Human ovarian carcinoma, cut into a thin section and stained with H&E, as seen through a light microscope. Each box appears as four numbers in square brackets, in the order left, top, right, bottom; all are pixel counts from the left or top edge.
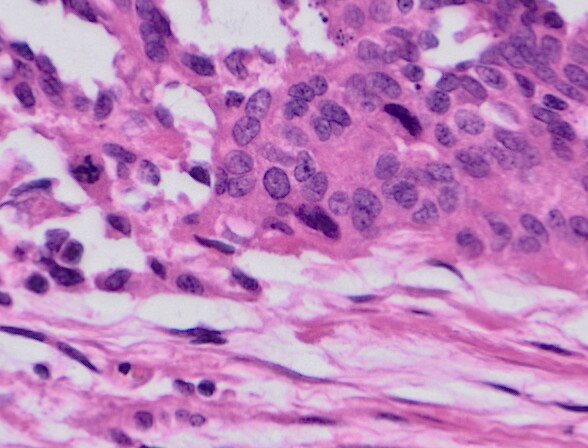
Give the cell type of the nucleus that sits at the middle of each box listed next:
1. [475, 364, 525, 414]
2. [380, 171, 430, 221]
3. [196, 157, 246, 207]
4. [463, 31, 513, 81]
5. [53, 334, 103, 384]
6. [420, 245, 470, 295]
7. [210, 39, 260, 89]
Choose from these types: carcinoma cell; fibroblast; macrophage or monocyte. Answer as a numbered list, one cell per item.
1. fibroblast
2. carcinoma cell
3. carcinoma cell
4. carcinoma cell
5. fibroblast
6. fibroblast
7. macrophage or monocyte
